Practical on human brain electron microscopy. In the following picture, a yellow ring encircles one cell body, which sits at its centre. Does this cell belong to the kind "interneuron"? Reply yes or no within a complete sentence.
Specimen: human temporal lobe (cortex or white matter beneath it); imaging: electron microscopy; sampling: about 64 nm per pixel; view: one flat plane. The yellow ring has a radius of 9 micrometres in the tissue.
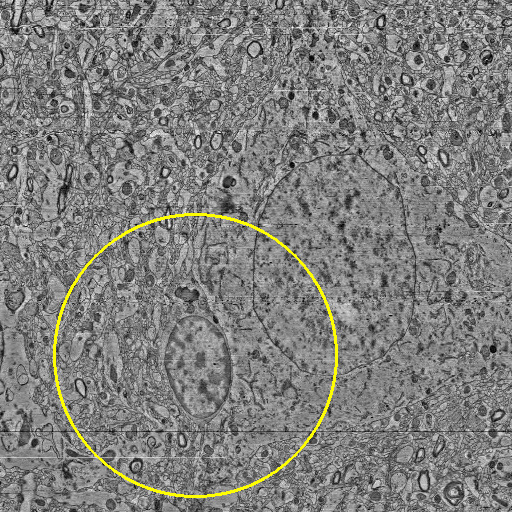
No, the cell lying within the ring at its centre is another kind.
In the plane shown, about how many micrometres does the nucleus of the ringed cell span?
In this plane, approximately 7 by 4 micrometers, and clearly longer than it is wide.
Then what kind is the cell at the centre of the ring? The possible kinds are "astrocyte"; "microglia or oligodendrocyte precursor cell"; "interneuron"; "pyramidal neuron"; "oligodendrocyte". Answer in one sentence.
The cell in the ring is an oligodendrocyte instead.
